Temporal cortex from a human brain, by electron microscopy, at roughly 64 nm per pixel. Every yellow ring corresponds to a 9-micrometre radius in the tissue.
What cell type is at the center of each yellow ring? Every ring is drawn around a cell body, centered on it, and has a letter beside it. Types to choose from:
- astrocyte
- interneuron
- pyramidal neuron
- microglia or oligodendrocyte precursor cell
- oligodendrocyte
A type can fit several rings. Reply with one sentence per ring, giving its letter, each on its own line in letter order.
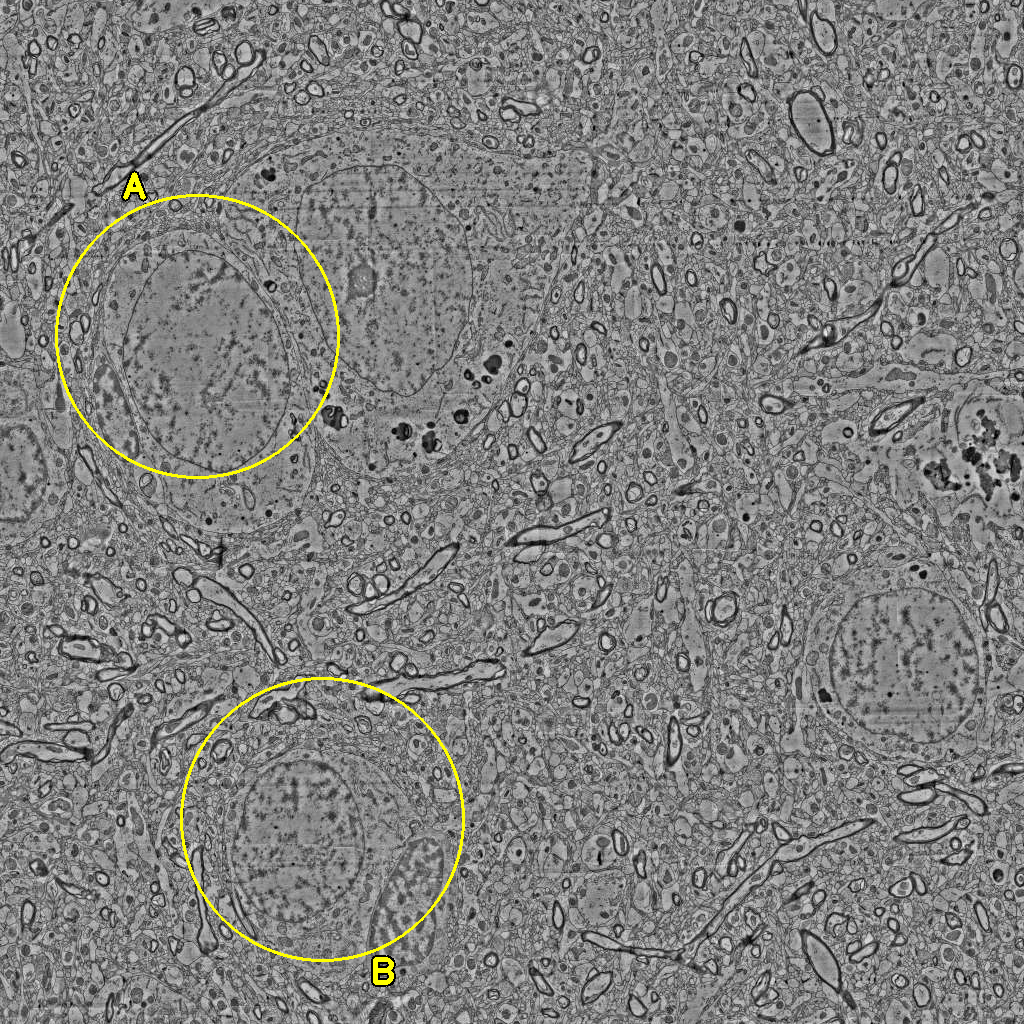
Ring A is placed around a pyramidal neuron.
Ring B is placed around an interneuron.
